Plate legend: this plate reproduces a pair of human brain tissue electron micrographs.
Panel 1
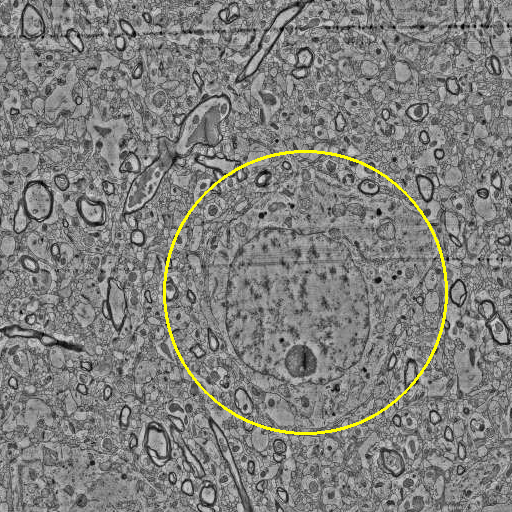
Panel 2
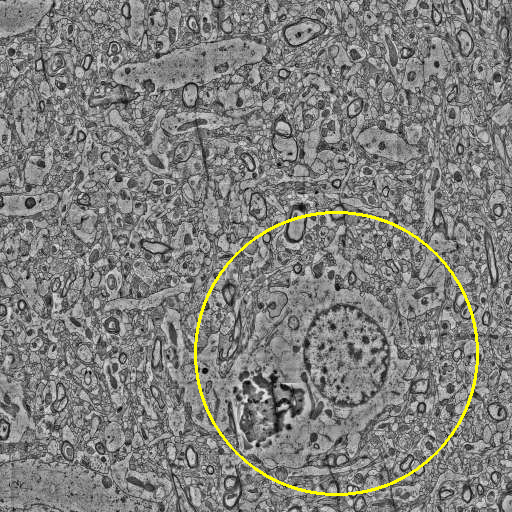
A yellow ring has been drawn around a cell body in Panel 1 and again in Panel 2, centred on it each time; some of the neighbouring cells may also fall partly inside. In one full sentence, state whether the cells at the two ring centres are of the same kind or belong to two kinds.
The ring-centred cells of Panel 1 and Panel 2 belong to two kinds.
